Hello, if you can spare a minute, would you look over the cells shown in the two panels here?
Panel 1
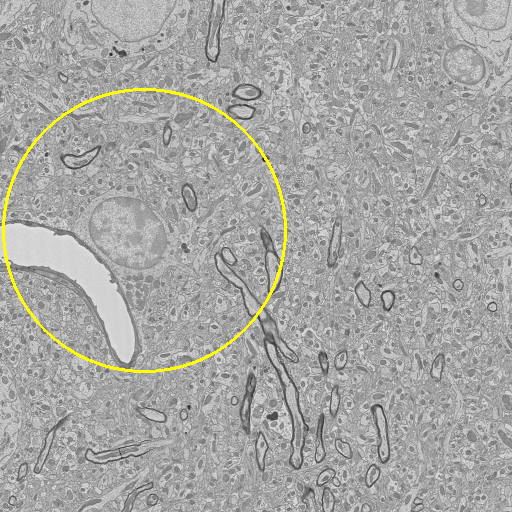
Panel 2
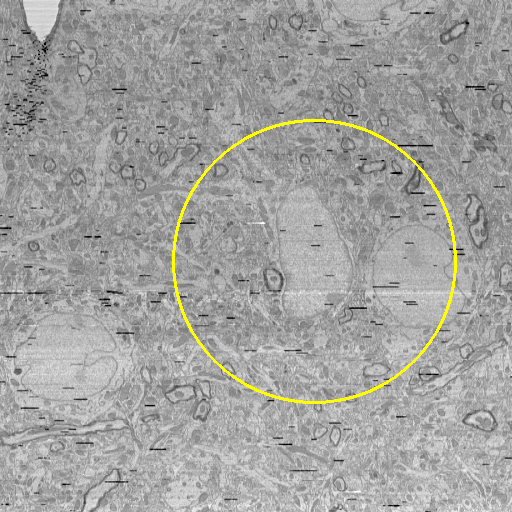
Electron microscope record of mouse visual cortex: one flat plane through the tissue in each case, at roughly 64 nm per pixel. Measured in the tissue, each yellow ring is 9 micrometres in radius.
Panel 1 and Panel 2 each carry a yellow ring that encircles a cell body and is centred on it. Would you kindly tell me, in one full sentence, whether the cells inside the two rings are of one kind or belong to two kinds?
The cells at the centres of the rings in Panel 1 and Panel 2 belong to two kinds.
